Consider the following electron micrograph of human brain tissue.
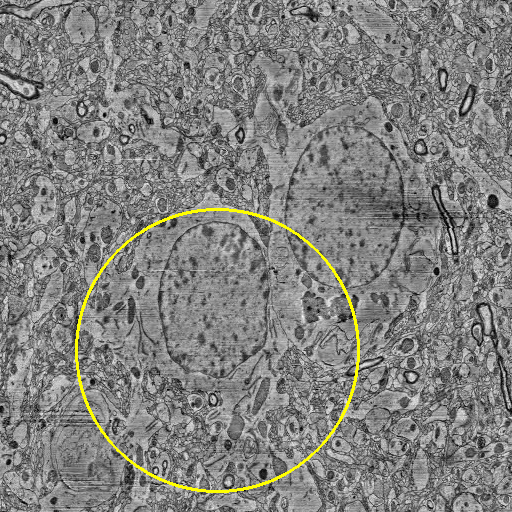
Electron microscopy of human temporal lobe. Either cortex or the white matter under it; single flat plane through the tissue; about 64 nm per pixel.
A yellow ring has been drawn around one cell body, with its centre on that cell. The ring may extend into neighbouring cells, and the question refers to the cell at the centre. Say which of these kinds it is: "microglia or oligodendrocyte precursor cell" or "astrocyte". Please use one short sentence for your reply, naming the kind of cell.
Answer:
The centre of the ring falls on an astrocyte.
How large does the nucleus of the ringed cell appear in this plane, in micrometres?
The nucleus of the ringed cell is approximately 10 by 7 micrometres in this plane.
